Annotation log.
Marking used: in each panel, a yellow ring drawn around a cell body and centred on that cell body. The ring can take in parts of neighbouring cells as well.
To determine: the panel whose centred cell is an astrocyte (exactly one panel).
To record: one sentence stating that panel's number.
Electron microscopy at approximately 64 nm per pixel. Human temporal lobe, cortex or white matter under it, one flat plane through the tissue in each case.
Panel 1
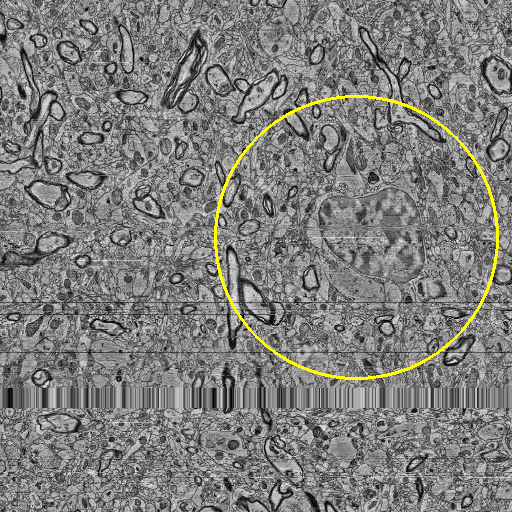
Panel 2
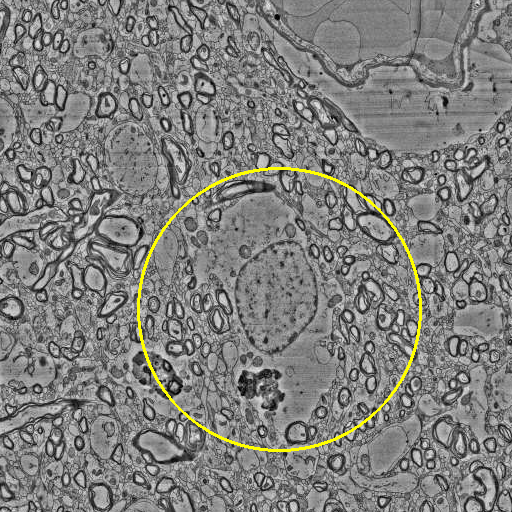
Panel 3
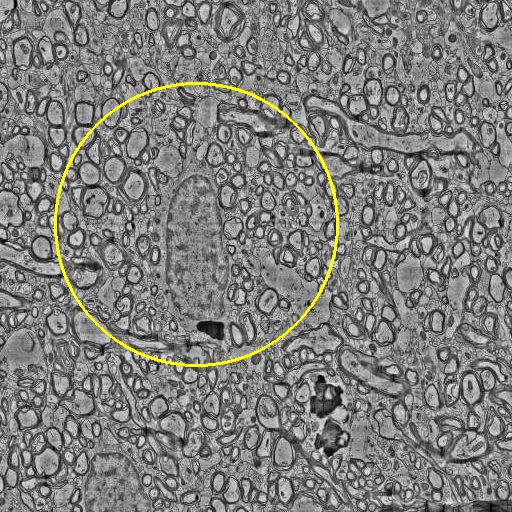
Panel 2 shows it at the centre of its ring.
